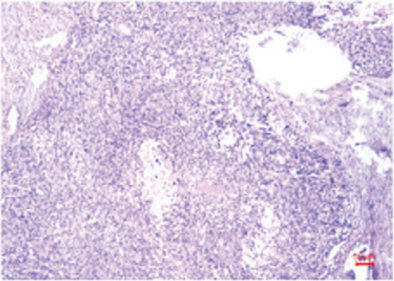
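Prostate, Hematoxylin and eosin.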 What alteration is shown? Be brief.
Solid pattern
